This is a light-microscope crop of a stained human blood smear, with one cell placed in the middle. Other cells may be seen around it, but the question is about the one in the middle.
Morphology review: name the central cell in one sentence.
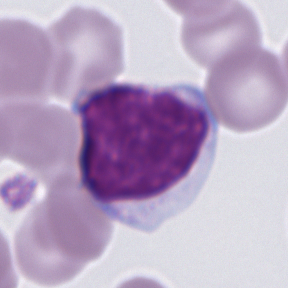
The cell at the centre of the field is a large granular lymphocyte.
